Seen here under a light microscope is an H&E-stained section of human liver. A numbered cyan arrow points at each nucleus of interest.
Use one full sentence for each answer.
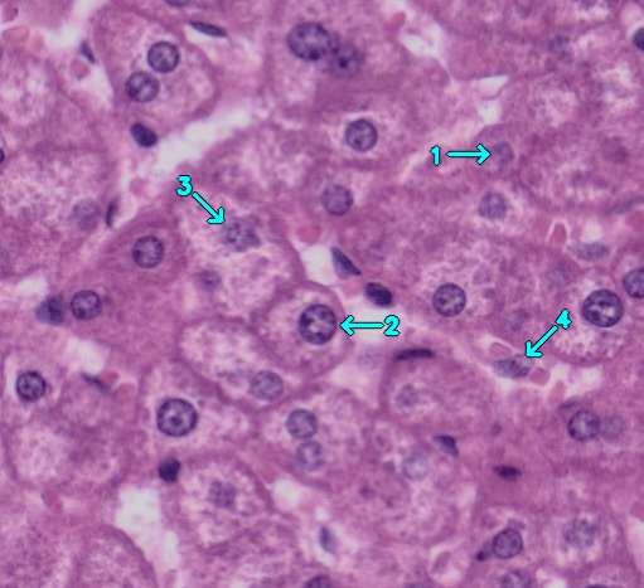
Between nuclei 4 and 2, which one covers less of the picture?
Number 4 is smaller, since number 2 takes up about 2 times as much area.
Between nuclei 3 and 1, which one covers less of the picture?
Number 1 is smaller, since number 3 takes up about 2.5 times as much area.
